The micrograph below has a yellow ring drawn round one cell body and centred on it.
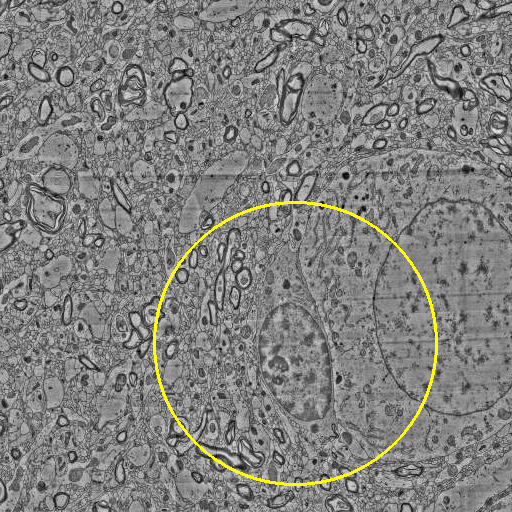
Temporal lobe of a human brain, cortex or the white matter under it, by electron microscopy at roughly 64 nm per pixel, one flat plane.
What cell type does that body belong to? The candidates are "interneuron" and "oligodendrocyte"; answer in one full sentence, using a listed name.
This is an oligodendrocyte, the cell whose body lies at the centre of the ring.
